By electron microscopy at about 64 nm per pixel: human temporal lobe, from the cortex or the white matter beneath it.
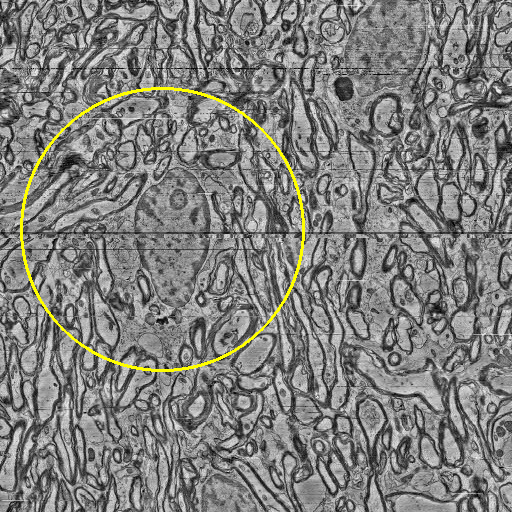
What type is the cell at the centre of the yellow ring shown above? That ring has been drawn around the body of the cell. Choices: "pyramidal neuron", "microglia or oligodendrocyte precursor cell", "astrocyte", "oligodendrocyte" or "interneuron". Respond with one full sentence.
My answer is that a microglial cell or oligodendrocyte precursor cell lies at the centre of the yellow ring above.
